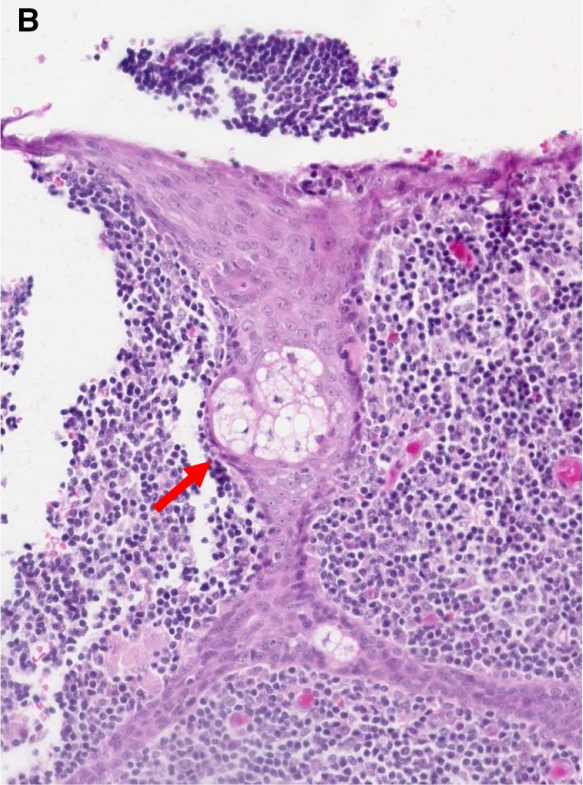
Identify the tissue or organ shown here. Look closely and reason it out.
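A multilayered pink epithelium runs along the surface. The epithelial cells have ample pink cytoplasm and round nuclei.
Stratified squamous epithelium.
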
